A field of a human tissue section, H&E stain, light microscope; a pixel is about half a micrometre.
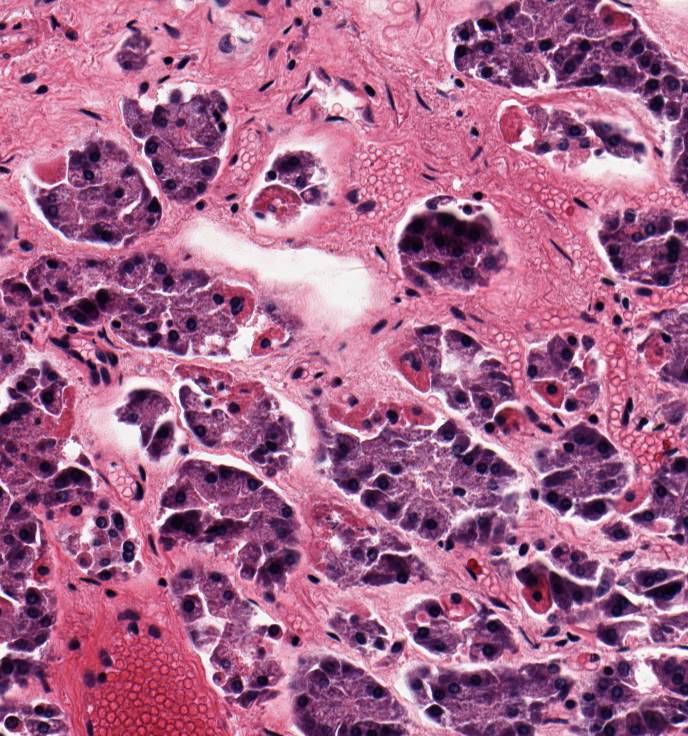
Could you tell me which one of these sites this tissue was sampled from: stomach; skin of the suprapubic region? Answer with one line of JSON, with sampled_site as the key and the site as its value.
{"sampled_site": "stomach"}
